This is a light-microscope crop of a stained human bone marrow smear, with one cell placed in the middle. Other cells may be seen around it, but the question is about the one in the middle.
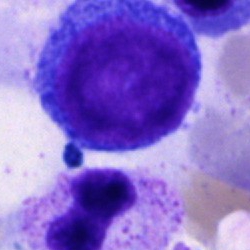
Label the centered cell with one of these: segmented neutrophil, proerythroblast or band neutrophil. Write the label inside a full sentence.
In the middle of this smear crop is a proerythroblast.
